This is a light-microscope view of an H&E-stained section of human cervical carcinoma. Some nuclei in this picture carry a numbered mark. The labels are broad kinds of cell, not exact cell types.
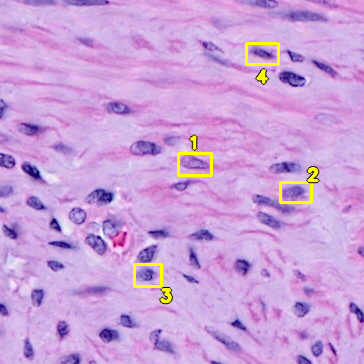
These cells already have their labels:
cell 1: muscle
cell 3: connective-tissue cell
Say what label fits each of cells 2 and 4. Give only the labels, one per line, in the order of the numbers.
muscle
muscle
